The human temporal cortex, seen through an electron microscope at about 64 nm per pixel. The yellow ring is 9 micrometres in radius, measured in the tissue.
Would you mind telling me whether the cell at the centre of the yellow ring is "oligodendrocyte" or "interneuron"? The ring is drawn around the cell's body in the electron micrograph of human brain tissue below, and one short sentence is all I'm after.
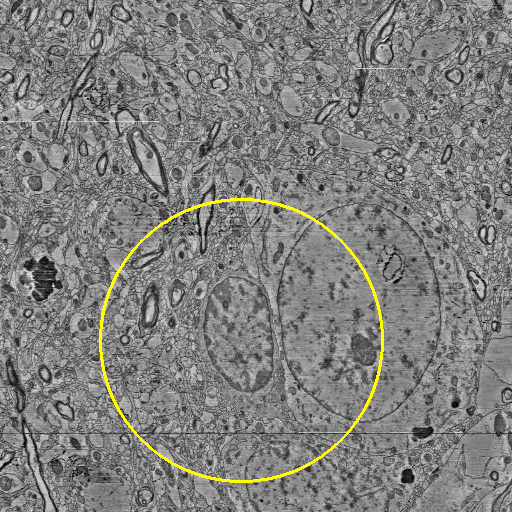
In the centre of the ring lies an oligodendrocyte.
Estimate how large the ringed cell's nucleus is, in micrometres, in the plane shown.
In this plane the nucleus is clearly longer than it is wide: roughly 8 by 4 micrometres.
